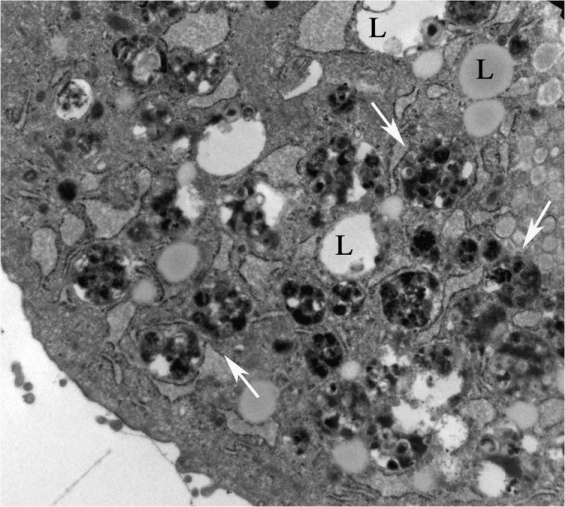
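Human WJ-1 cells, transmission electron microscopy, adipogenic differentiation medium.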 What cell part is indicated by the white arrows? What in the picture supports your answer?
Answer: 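The arrows point to rounded membrane-bound compartments in the cytoplasm. Each compartment holds many small electron-dense bodies and pale vesicles.
Hence: autophagy bodies.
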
